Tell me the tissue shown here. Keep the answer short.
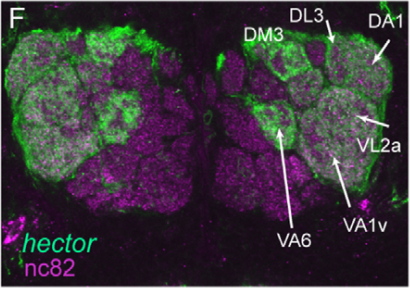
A: Antennal lobes.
